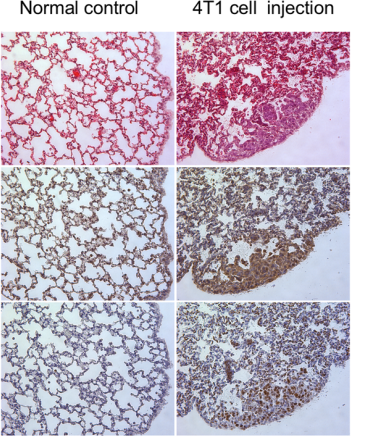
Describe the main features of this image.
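On the left, lung tissue shows a lacy network of thin alveolar walls around open air spaces, pink in the top image and lightly brown-tinged with blue nuclei below. The solid nodule within the lung is a metastatic focus of tumor cells.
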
